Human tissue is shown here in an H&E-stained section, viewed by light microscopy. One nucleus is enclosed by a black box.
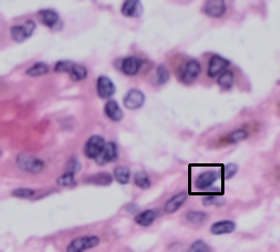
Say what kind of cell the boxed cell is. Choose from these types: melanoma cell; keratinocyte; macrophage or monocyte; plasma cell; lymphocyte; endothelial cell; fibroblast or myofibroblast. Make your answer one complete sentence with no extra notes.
So far as cell type goes, the boxed cell is a lymphocyte.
